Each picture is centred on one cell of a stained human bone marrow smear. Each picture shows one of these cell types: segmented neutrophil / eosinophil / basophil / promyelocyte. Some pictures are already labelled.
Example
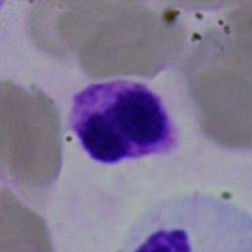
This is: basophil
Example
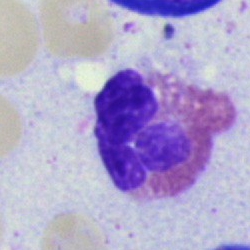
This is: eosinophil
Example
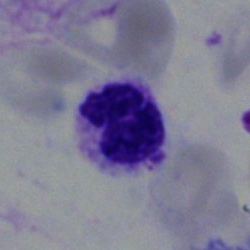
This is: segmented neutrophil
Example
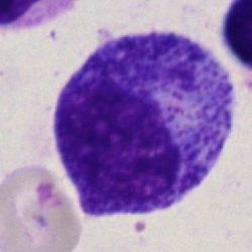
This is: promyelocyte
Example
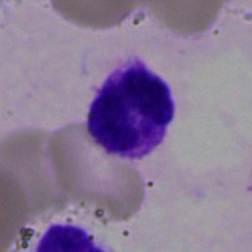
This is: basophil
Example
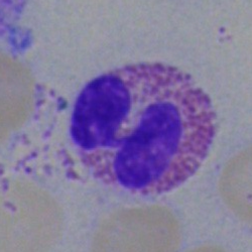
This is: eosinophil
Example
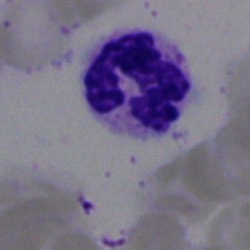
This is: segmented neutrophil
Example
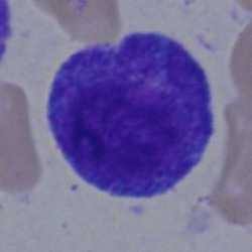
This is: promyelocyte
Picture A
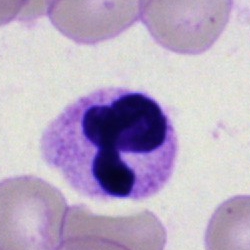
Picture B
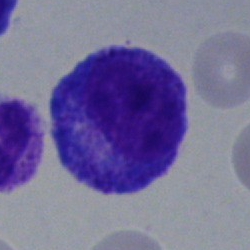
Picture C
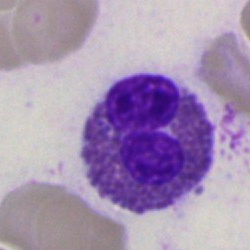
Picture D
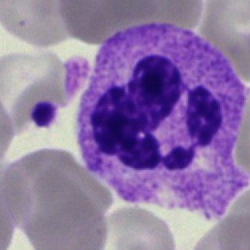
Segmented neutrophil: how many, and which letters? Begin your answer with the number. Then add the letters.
2: A, D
